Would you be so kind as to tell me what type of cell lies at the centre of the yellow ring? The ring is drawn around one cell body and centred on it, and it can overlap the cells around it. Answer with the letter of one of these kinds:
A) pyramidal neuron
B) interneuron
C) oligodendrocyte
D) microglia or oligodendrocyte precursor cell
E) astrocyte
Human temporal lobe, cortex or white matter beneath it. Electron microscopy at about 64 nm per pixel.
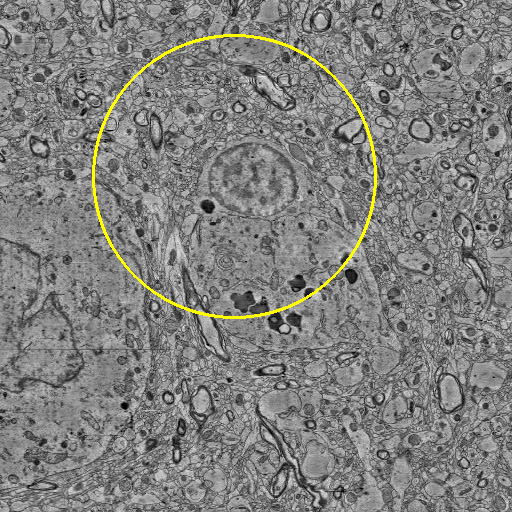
C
